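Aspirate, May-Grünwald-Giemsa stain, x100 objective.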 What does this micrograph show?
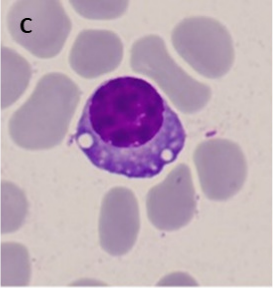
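A single plasma cell is surrounded by pale pink-lilac red blood cells in a bone marrow smear. The cell has a large round nucleus, deep purple with clumped chromatin. It is set in a rim of bluish-purple cytoplasm. Two distinct round, clear vacuoles sit in the cytoplasm at opposite sides of the nucleus.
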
